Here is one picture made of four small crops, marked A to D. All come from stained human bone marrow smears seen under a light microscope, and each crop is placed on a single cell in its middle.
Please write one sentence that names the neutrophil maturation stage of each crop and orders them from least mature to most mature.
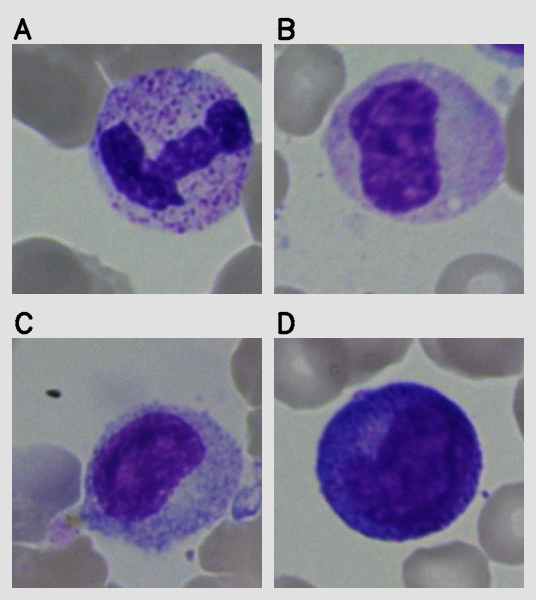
The maturity ranking, beginning with the least mature, is crop D (a promyelocyte), crop C (a myelocyte), crop B (a metamyelocyte) and crop A (a segmented neutrophil).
